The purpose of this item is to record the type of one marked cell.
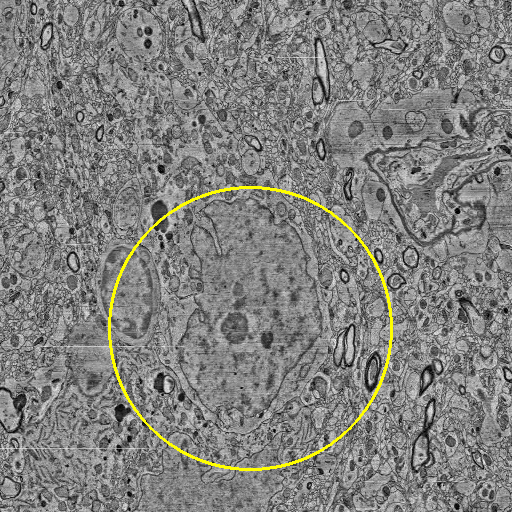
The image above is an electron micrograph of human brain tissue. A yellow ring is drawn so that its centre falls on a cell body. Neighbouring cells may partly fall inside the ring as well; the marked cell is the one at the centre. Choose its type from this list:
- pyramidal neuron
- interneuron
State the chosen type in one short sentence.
What the ring marks here is an interneuron.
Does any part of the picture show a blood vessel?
Yes.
